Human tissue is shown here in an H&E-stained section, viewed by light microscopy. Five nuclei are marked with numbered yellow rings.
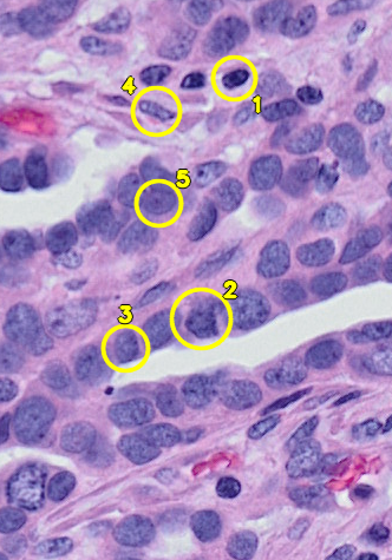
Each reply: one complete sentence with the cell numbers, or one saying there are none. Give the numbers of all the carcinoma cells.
The cells numbered 2, 3 and 5 are identified as carcinoma cells.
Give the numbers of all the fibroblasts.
Only the cell numbered 4 is a fibroblast; none of the others is.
